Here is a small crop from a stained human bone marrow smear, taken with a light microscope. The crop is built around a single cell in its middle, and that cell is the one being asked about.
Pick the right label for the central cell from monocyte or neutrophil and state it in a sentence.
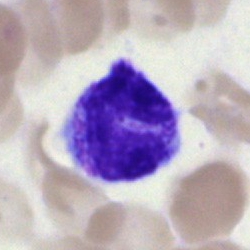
The middle cell in this particular crop is a monocyte.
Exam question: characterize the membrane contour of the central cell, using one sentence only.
The contour of the cell is interrupted by ragged areas or by projections.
